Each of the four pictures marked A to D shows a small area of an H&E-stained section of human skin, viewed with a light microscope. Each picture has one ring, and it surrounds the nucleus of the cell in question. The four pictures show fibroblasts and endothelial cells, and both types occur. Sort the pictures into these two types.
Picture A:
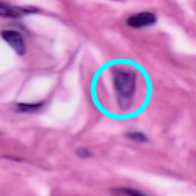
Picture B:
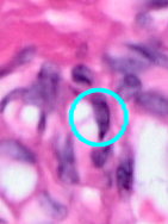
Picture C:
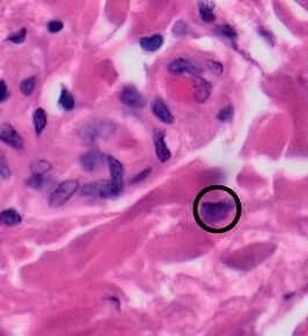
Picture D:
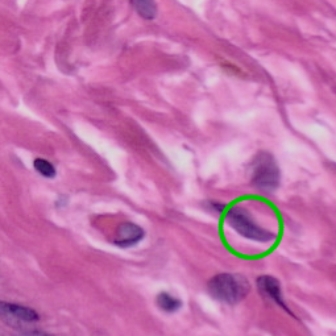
A: fibroblast
B: endothelial cell
C: fibroblast
D: fibroblast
